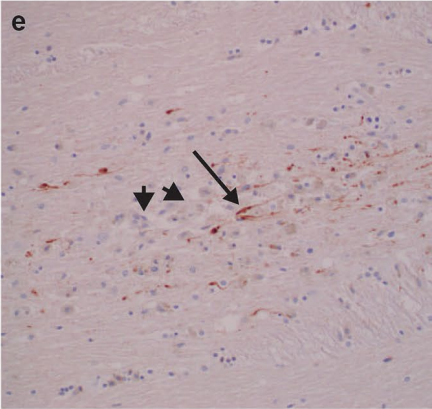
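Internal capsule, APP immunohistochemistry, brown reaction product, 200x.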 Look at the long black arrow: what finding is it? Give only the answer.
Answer: Linear swollen axons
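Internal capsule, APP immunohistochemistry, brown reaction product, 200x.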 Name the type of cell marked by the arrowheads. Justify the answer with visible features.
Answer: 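Macrophages. The arrowheads point to rounded unstained cells with pale abundant cytoplasm. These cells are larger than the small dark glial nuclei around them. Many such pale rounded cells are gathered in the centre of the field.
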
